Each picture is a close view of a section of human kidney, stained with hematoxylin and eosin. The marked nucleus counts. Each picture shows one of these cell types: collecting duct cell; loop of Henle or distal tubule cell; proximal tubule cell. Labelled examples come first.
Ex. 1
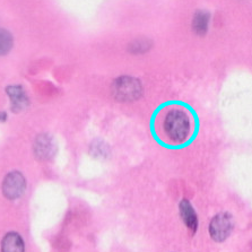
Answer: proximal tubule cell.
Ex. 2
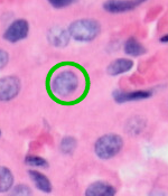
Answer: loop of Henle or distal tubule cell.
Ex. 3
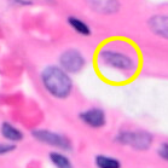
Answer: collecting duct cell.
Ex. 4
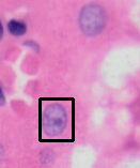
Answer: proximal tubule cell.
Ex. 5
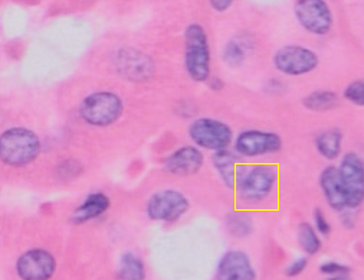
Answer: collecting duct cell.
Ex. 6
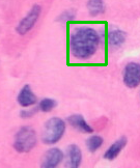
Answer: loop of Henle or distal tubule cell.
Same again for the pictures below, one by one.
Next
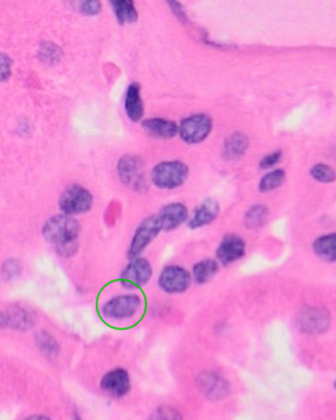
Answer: collecting duct cell.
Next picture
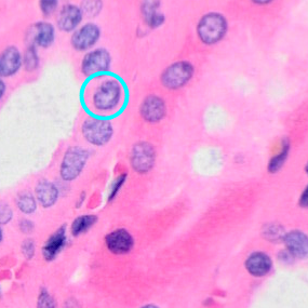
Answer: collecting duct cell.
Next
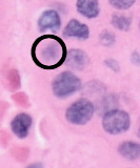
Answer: collecting duct cell.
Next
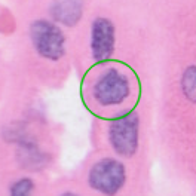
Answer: collecting duct cell.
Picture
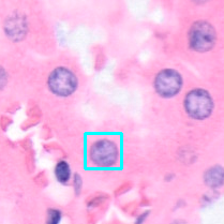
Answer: proximal tubule cell.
